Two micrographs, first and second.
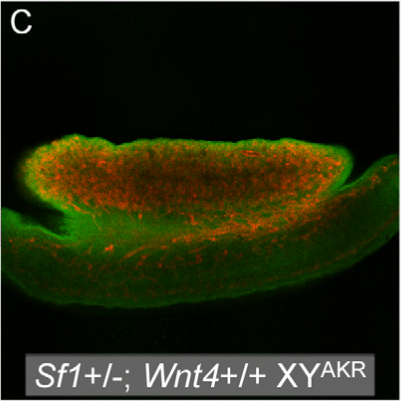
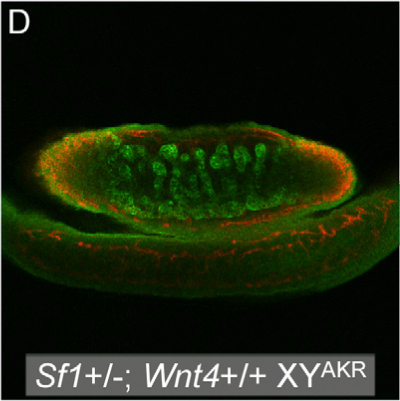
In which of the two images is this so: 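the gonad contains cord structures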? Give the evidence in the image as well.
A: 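Second image: distinct green looped cords fill the center of the gonad. First image: the gonad shows diffuse red speckled tissue with no green cords.
The second image.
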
